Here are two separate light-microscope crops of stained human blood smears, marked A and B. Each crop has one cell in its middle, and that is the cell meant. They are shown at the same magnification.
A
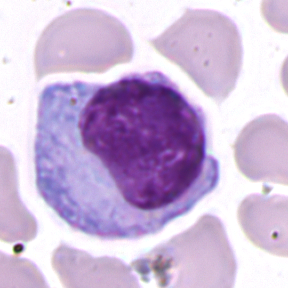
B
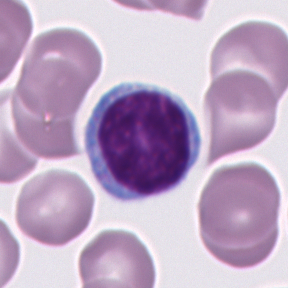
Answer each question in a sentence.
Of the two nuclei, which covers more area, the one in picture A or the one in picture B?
The nucleus in picture A is larger, with about 1.5 times the area of the one in picture B.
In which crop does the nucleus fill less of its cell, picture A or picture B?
In picture A the nucleus takes up the smaller part of its cell.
